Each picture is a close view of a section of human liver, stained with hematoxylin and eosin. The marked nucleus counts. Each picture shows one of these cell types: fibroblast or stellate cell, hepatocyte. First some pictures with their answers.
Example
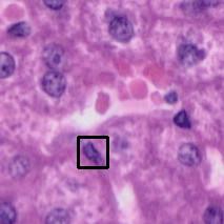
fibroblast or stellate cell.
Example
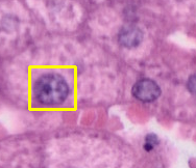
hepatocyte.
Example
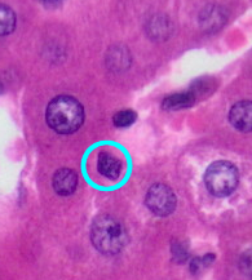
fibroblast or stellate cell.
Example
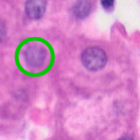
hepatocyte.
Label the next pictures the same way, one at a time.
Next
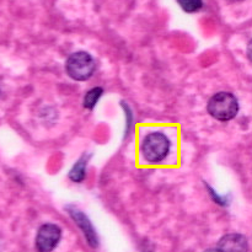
hepatocyte.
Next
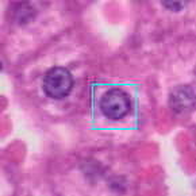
hepatocyte.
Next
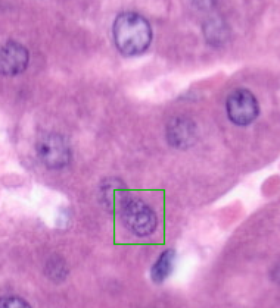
hepatocyte.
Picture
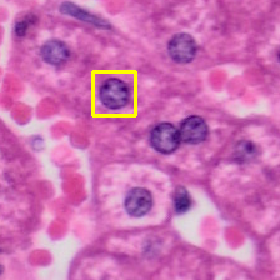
hepatocyte.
